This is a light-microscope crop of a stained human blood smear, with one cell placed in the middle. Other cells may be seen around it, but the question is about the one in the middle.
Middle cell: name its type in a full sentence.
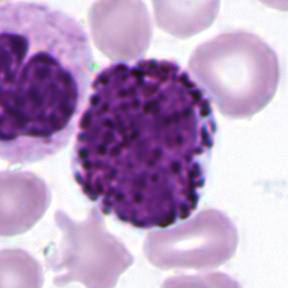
At the crop's centre, the cell is a basophil.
